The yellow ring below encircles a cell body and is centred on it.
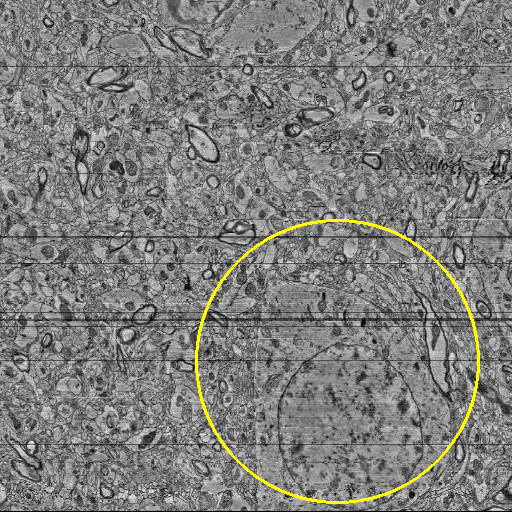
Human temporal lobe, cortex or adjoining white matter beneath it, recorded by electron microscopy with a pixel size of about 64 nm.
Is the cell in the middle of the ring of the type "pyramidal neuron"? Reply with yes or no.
yes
